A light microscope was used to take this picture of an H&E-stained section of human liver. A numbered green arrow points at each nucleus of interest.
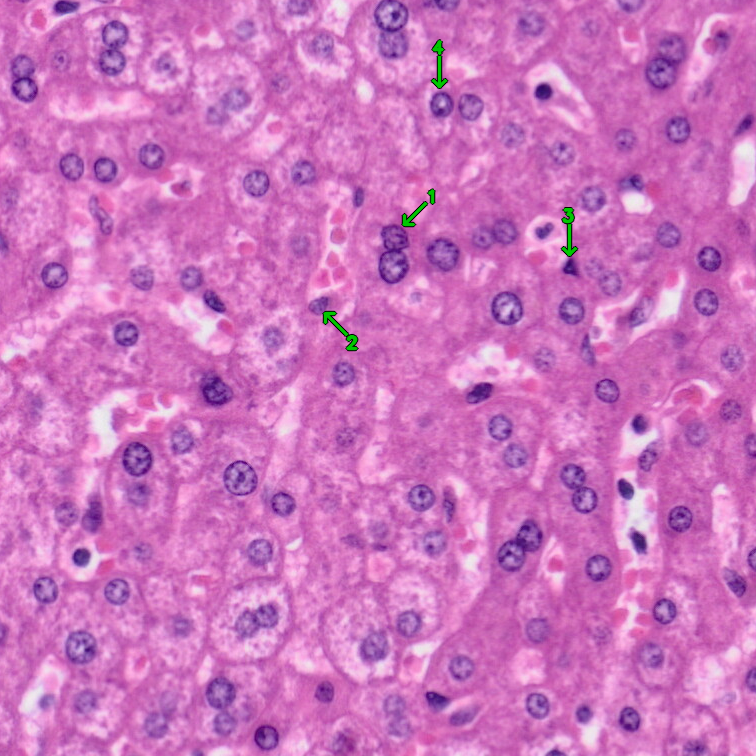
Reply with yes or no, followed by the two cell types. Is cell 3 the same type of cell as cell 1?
No, cell 3 is a fibroblast or stellate cell and cell 1 is a hepatocyte.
